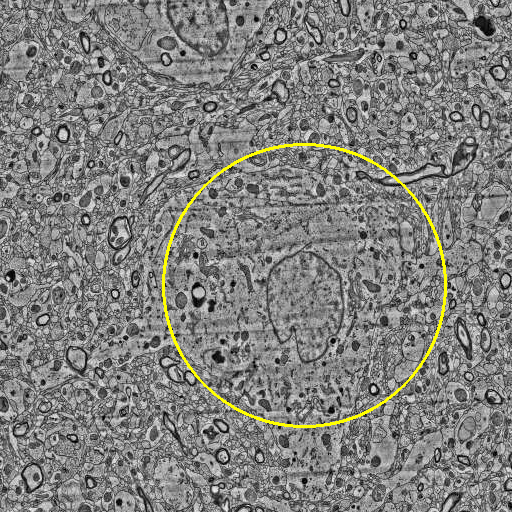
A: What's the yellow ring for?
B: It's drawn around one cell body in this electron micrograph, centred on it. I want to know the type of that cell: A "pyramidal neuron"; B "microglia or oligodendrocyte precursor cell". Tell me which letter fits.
A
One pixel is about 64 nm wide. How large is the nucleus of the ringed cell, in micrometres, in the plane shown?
The nucleus is approximately 7 micrometers long by 5 micrometers wide in this plane.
